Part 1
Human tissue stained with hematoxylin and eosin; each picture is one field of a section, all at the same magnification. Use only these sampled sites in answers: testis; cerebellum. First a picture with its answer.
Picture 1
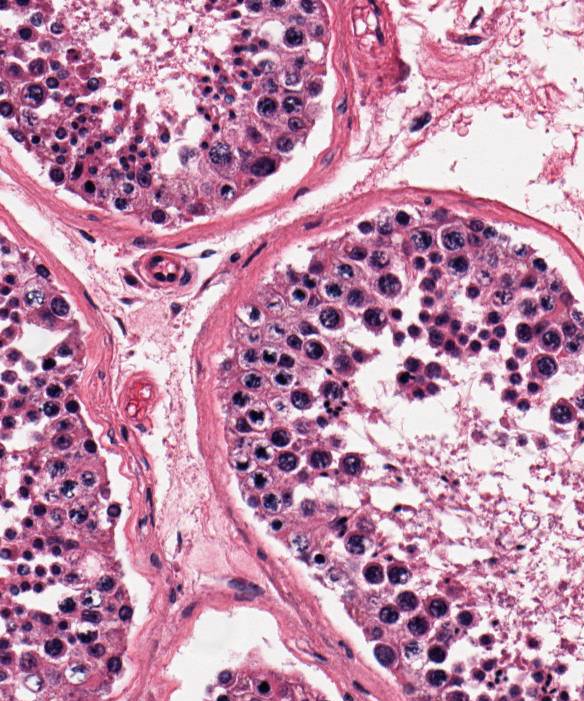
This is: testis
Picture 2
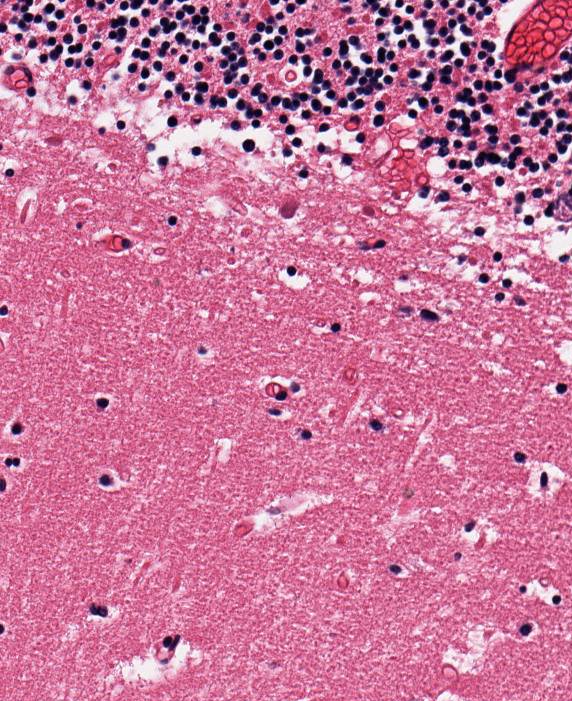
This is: cerebellum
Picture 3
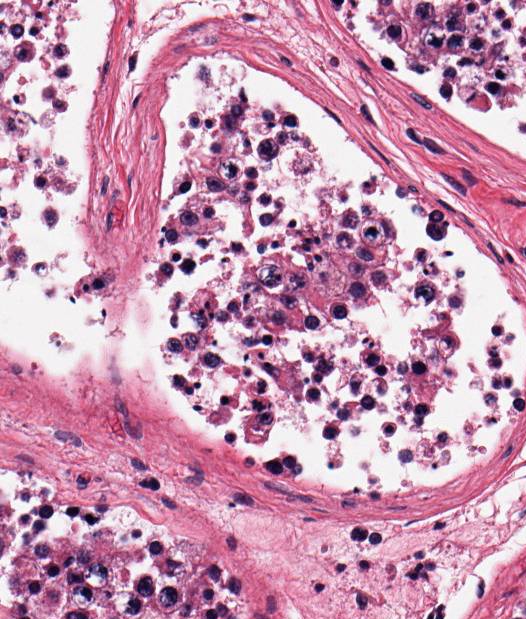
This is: testis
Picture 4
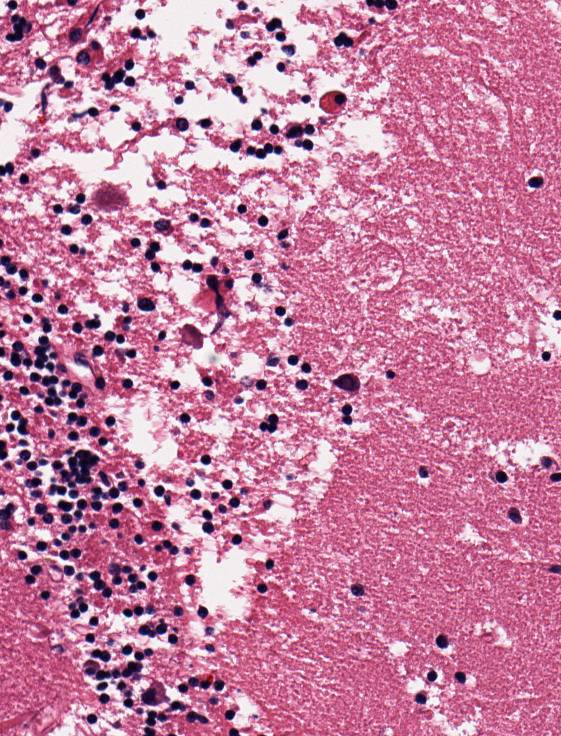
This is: cerebellum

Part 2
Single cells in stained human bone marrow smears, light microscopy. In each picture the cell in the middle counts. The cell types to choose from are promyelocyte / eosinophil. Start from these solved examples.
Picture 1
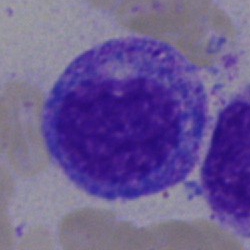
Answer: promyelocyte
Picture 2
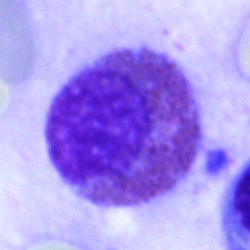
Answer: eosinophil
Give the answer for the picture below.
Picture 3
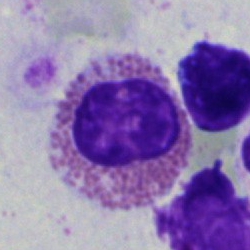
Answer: eosinophil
